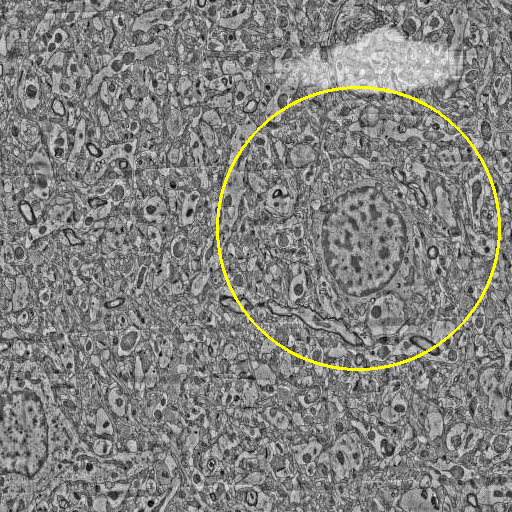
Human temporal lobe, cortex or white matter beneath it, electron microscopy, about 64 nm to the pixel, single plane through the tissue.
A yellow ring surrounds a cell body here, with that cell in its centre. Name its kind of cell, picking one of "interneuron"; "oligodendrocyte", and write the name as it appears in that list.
oligodendrocyte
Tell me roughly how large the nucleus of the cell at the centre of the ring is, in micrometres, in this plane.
The nucleus measures about 7 by 5 micrometres in this plane.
